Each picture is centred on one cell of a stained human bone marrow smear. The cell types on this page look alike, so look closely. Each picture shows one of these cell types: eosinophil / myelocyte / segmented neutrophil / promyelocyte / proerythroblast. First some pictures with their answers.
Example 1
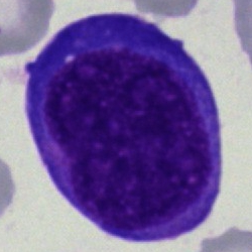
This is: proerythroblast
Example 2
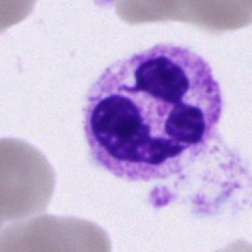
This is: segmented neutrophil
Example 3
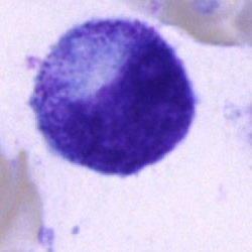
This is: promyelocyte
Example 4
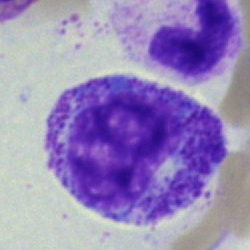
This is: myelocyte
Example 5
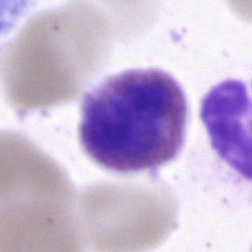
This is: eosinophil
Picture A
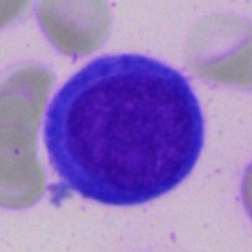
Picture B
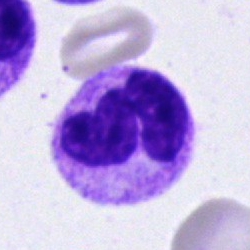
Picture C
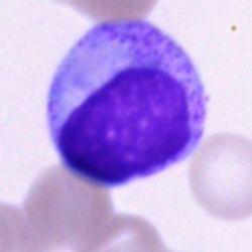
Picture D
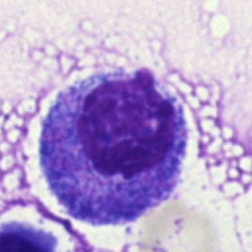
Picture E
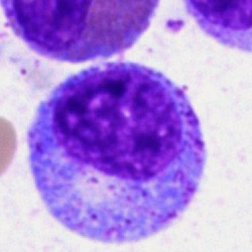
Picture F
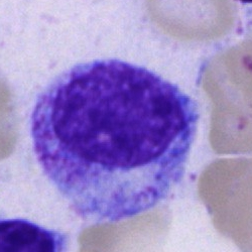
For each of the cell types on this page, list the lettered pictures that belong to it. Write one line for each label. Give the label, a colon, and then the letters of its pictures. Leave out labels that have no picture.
myelocyte: C, F
segmented neutrophil: B
promyelocyte: D, E
proerythroblast: A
